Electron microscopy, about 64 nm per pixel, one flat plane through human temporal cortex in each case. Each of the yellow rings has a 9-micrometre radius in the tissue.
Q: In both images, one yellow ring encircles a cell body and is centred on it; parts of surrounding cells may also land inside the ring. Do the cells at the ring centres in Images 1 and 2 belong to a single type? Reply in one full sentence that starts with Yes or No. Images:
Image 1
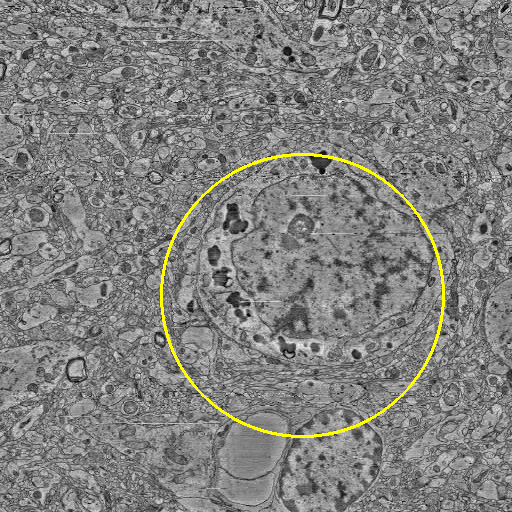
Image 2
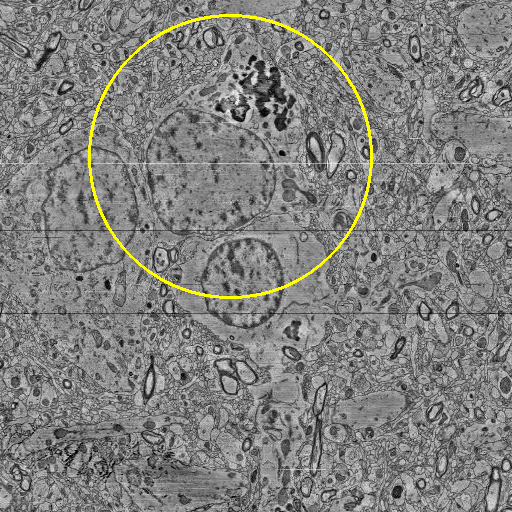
No, the cells at the ring centres in Images 1 and 2 are of two types.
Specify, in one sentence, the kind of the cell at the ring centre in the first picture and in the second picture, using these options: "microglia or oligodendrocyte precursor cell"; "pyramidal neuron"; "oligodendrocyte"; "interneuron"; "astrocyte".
So the first is an interneuron, the second an astrocyte.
